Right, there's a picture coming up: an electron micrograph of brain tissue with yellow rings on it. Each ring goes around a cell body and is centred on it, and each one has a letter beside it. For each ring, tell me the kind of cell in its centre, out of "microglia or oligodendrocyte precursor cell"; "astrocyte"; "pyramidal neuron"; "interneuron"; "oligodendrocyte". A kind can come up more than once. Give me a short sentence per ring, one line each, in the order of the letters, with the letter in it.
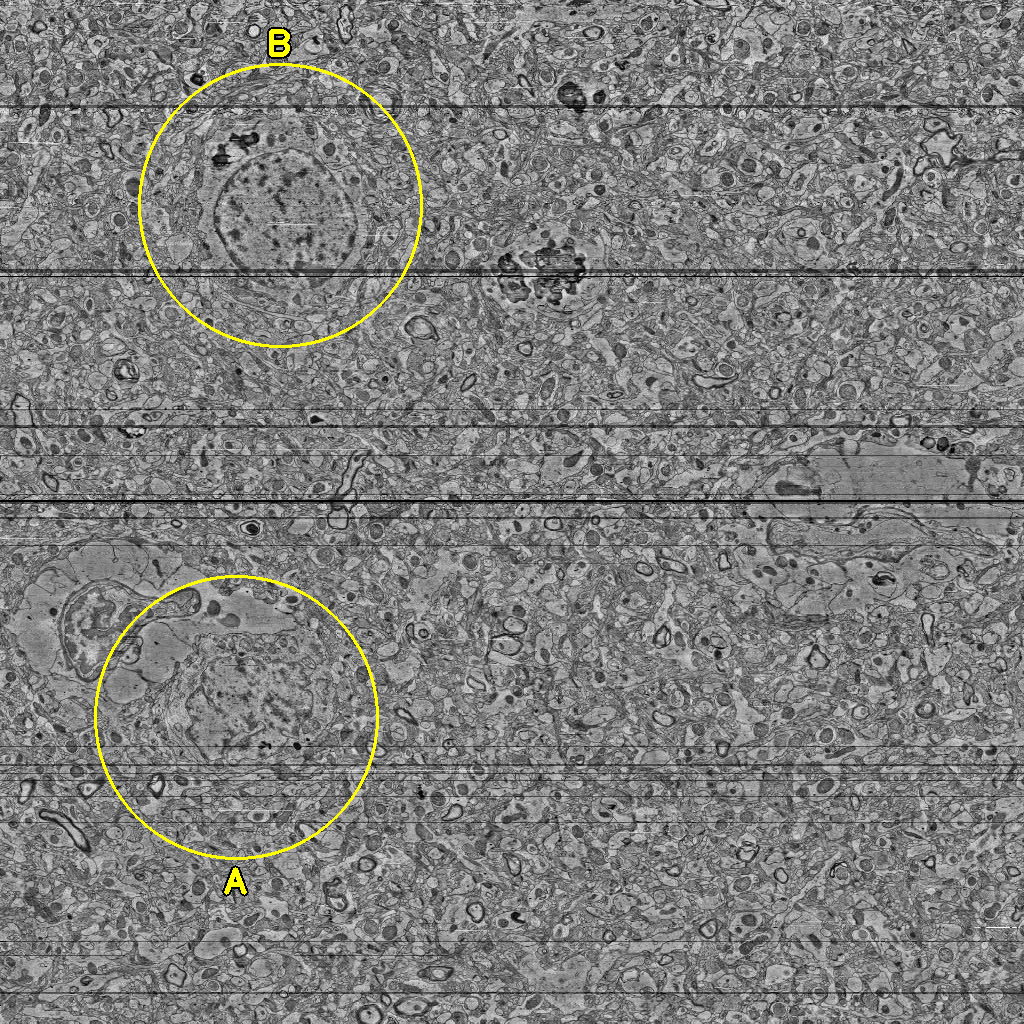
That's an interneuron in ring A.
That's an astrocyte in ring B.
